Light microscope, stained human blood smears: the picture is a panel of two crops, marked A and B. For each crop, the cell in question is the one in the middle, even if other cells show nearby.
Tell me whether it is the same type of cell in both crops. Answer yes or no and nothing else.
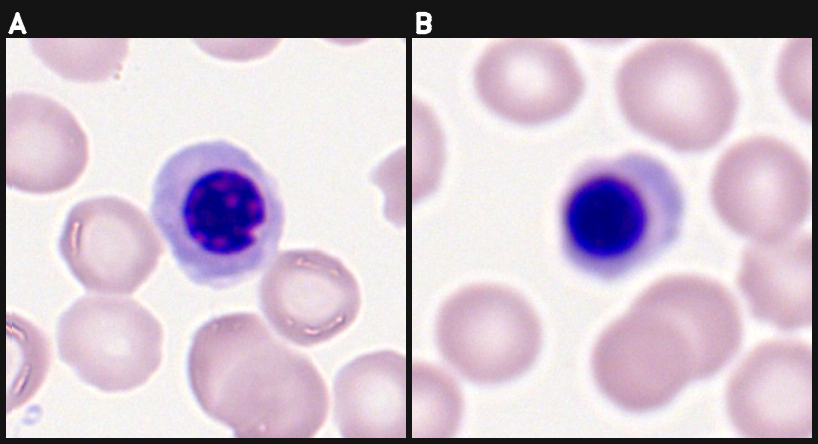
yes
